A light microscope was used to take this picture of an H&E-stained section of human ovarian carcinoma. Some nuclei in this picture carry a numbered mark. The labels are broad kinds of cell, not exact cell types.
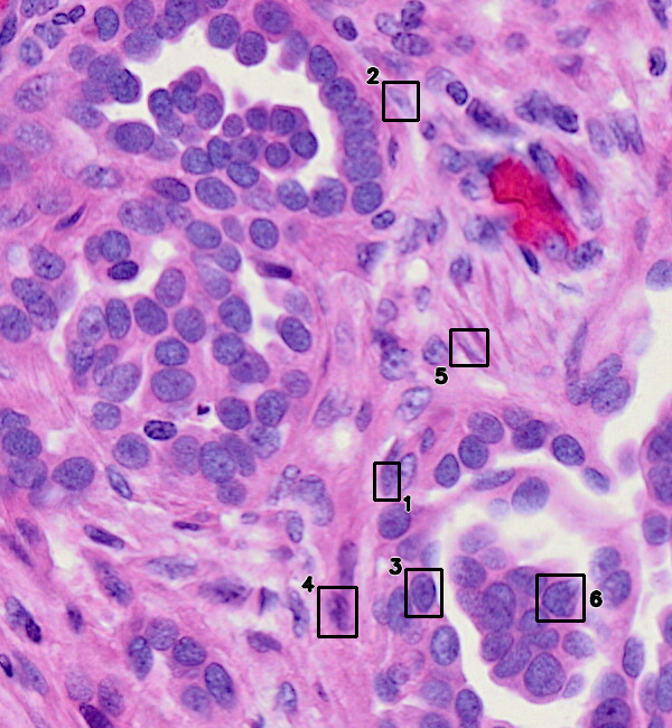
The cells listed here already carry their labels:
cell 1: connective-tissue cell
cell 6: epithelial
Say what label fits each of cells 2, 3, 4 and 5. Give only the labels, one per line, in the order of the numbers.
connective-tissue cell
epithelial
connective-tissue cell
connective-tissue cell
